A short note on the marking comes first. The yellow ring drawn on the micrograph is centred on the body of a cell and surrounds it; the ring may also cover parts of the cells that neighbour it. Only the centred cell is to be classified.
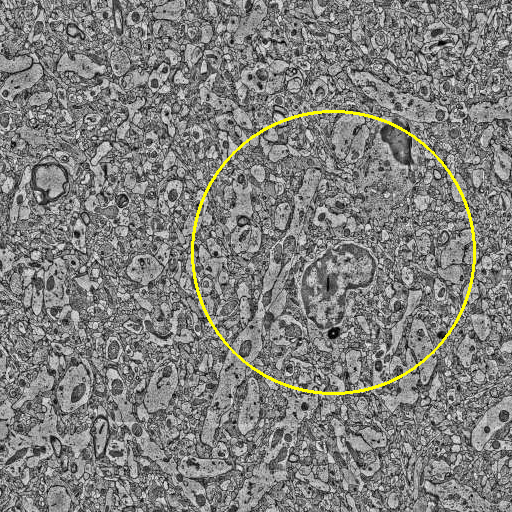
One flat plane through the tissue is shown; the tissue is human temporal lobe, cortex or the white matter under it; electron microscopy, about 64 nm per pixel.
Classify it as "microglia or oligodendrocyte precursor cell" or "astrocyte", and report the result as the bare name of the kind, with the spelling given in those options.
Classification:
microglia or oligodendrocyte precursor cell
